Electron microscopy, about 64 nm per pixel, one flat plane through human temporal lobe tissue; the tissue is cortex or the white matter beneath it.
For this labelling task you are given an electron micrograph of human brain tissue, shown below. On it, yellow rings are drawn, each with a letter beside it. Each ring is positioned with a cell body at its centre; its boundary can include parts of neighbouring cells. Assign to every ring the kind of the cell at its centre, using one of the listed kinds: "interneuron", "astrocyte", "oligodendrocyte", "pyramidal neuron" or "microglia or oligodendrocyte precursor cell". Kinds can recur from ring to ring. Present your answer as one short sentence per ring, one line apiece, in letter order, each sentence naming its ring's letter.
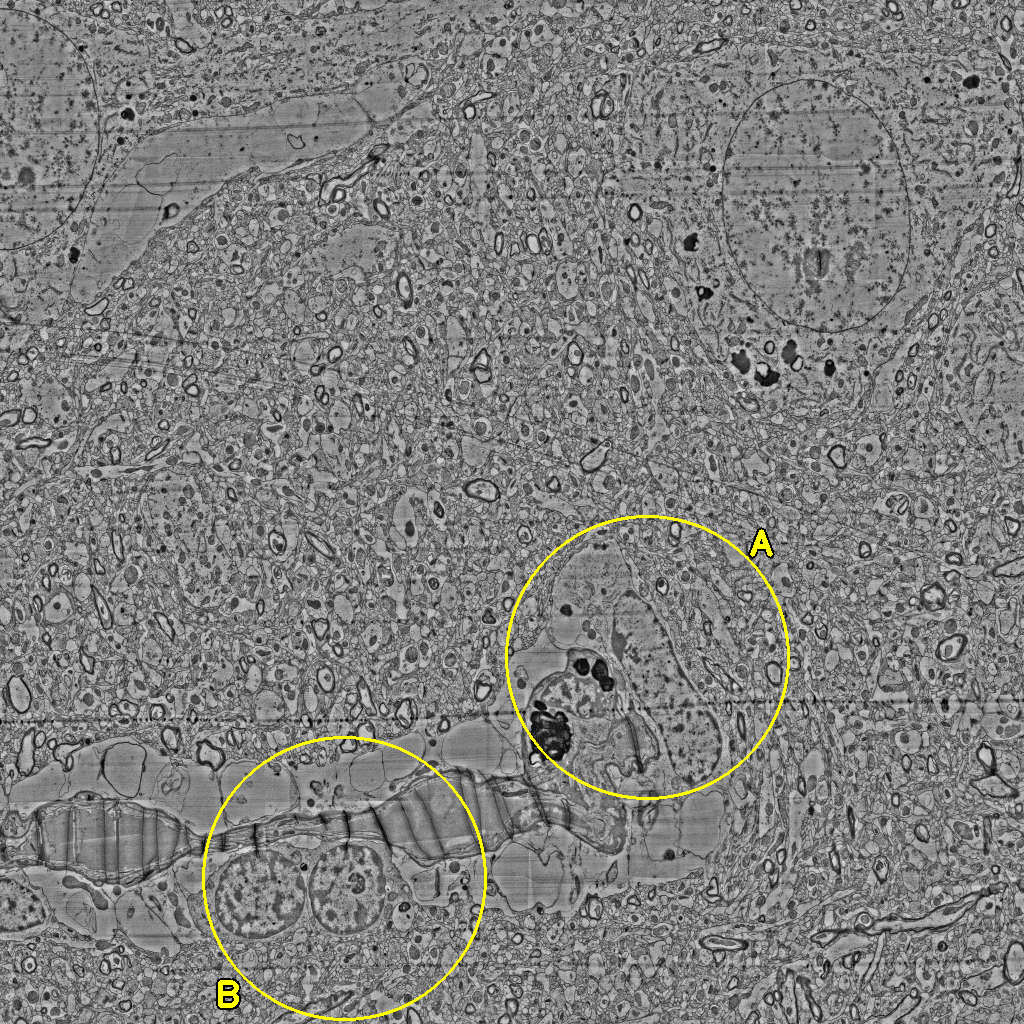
The cell in the middle of ring A is a microglial cell or oligodendrocyte precursor cell.
The cell in the middle of ring B is an oligodendrocyte.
